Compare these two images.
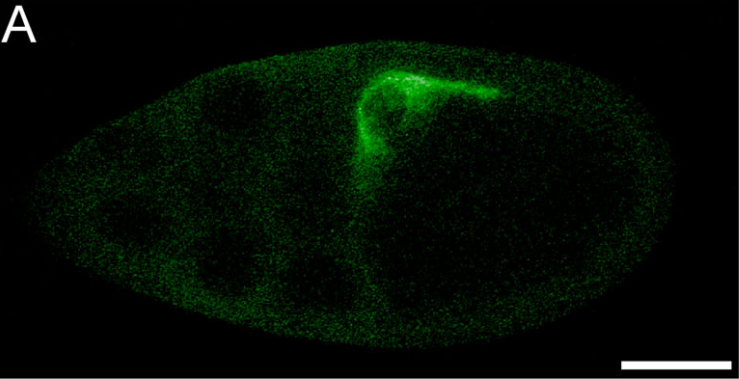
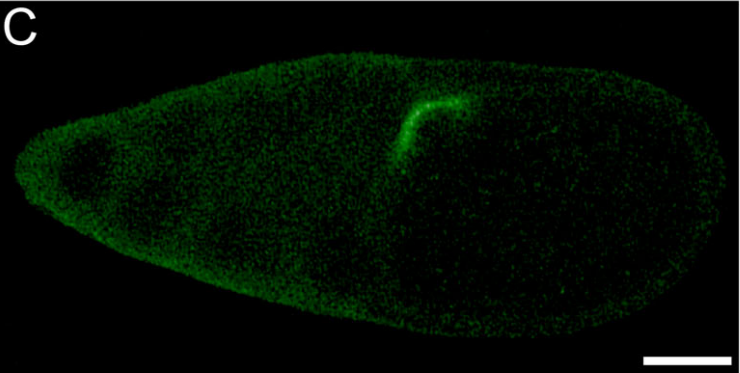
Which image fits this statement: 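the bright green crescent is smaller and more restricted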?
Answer: The second image.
